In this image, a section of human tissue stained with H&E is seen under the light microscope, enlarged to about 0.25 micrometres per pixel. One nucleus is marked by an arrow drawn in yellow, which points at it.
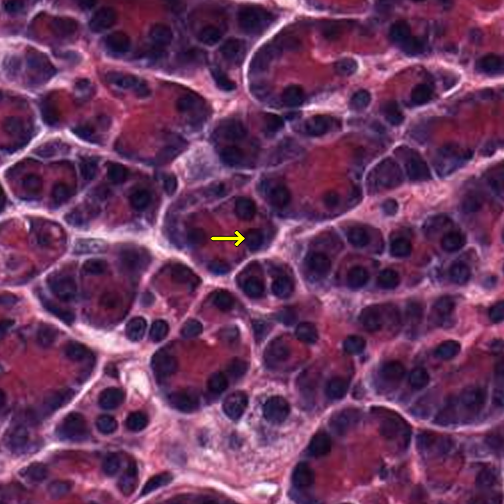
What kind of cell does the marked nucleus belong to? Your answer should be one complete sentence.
The nucleus that has been marked belongs to a pancreatic acinar cell.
